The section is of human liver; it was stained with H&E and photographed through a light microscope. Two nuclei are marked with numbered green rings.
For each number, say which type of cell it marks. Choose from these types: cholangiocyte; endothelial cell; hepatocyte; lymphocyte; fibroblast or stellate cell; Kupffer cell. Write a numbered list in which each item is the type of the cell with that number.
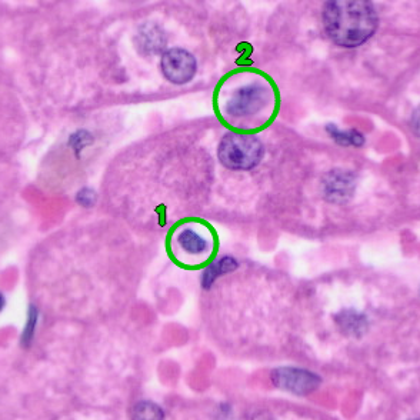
1. lymphocyte
2. endothelial cell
